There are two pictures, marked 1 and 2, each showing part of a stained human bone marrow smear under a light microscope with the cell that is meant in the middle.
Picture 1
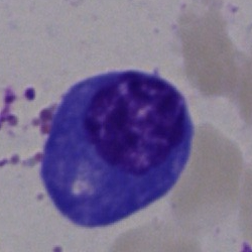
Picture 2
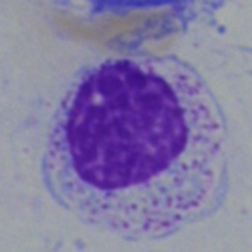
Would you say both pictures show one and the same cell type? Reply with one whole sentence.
No, the types are not the same, since picture 1 shows a plasma cell and picture 2 a myelocyte.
